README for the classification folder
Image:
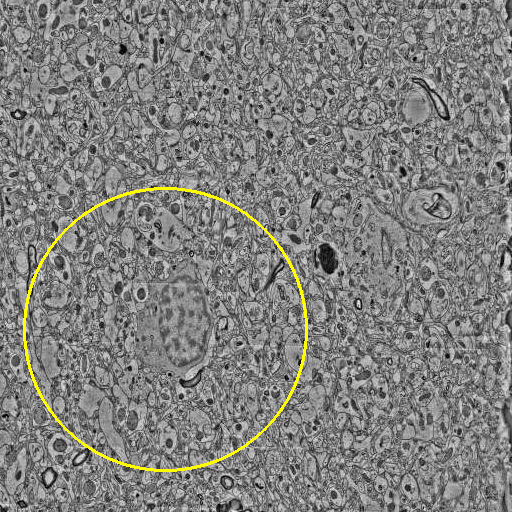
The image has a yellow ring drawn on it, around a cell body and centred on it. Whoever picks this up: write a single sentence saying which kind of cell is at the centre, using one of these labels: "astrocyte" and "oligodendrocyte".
This cell body is that of an oligodendrocyte.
